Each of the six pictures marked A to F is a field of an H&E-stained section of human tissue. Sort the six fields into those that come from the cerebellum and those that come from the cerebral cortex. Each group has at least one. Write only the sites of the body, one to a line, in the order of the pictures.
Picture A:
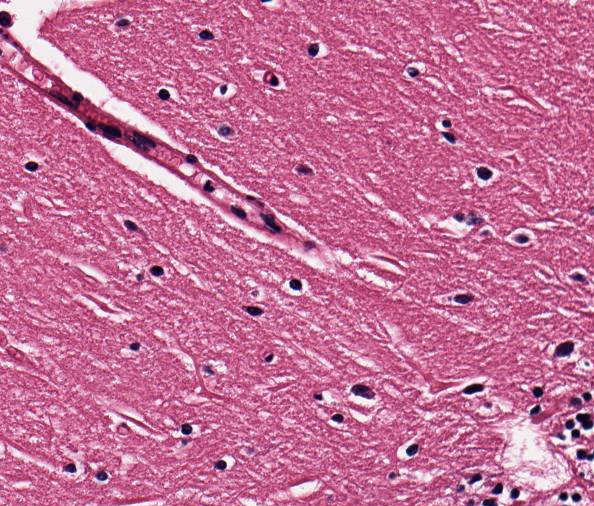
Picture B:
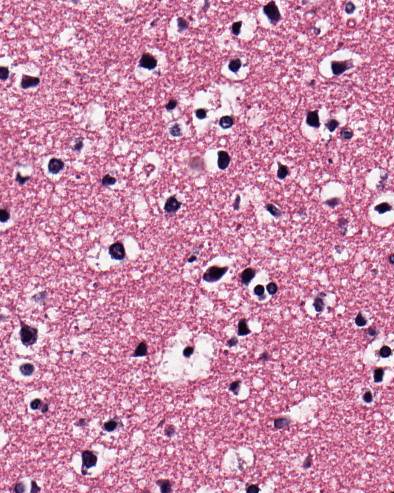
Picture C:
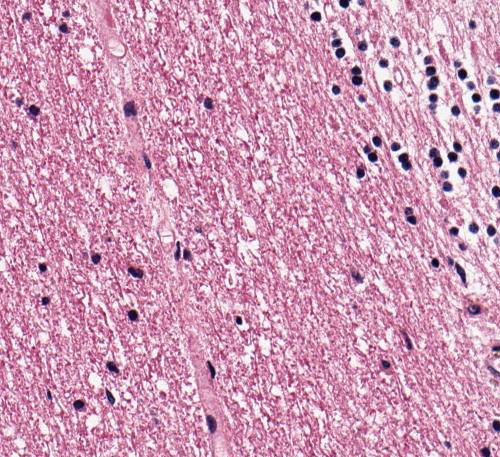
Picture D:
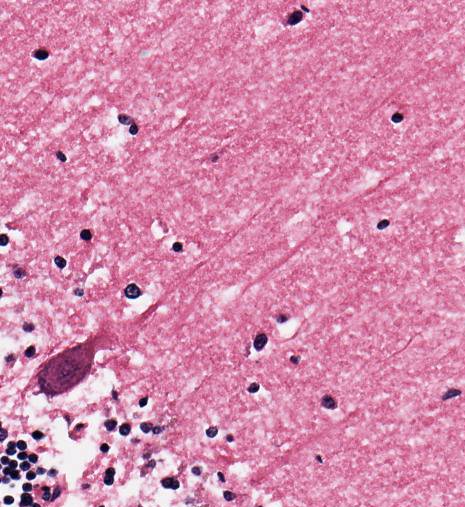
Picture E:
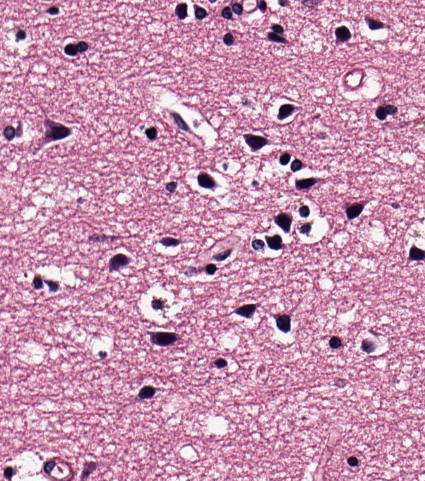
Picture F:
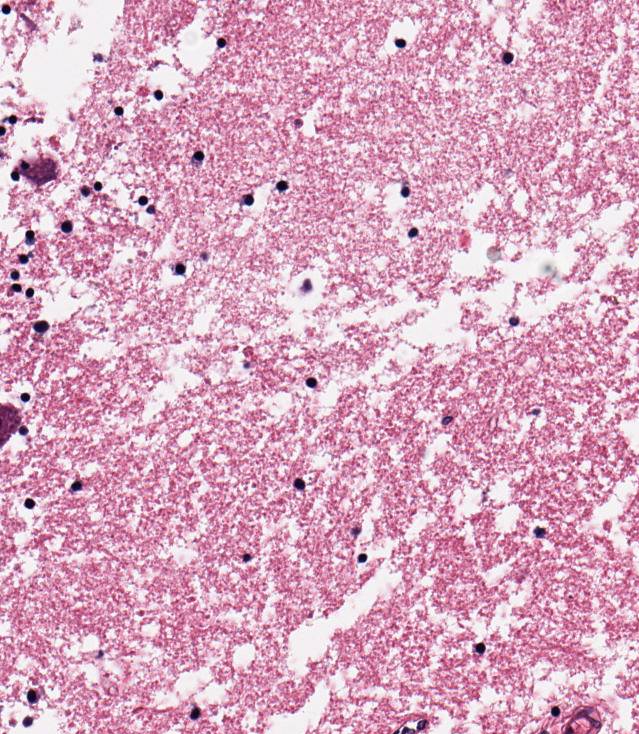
cerebellum
cerebral cortex
cerebellum
cerebellum
cerebral cortex
cerebellum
